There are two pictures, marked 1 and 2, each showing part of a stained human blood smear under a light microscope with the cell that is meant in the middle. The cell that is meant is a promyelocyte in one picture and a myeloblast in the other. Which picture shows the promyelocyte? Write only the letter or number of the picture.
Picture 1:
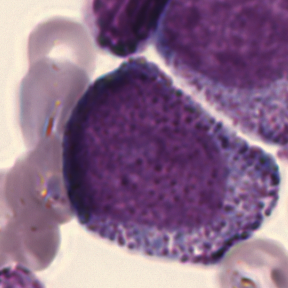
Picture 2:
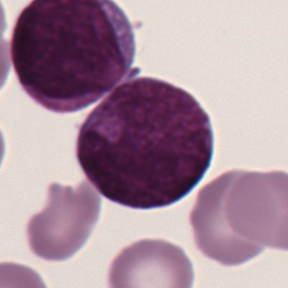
1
